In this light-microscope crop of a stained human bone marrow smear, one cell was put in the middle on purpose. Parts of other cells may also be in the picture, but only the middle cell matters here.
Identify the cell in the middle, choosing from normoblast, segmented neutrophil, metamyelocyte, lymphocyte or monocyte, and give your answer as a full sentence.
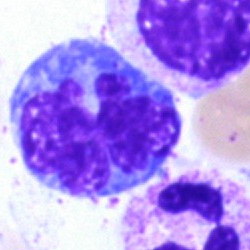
The middle of this crop is occupied by a monocyte.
